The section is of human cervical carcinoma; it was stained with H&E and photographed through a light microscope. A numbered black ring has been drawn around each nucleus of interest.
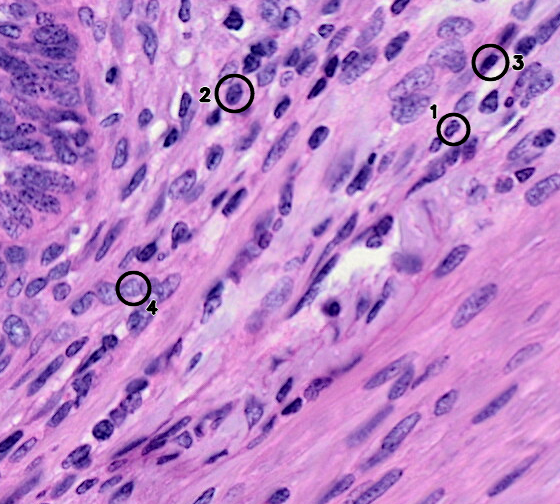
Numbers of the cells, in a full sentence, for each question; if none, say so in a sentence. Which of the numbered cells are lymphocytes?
The cells marked by the numbers 1, 2 and 3 are lymphocytes.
